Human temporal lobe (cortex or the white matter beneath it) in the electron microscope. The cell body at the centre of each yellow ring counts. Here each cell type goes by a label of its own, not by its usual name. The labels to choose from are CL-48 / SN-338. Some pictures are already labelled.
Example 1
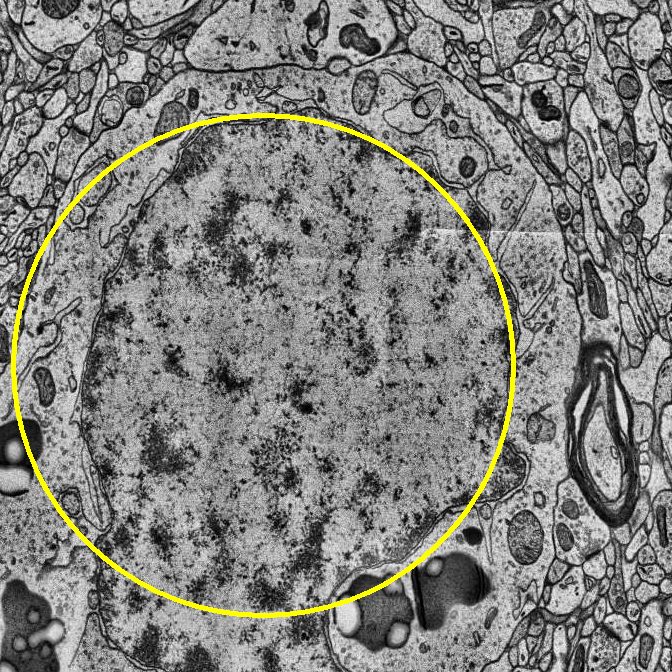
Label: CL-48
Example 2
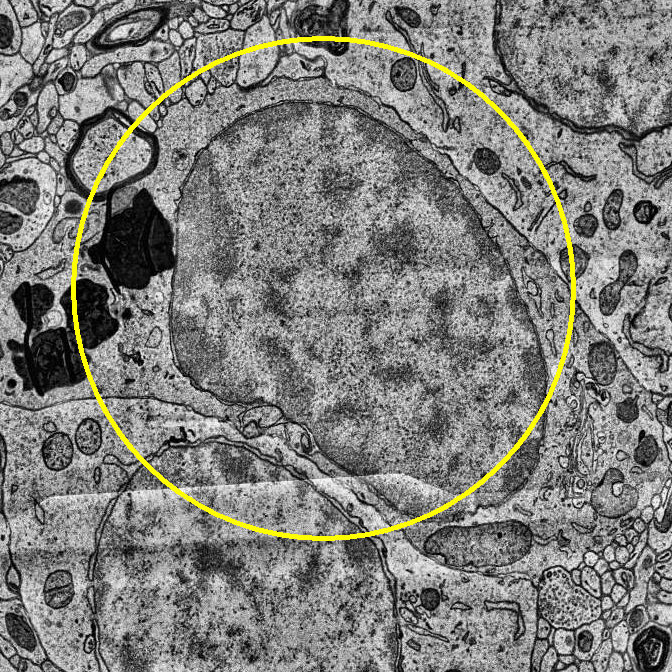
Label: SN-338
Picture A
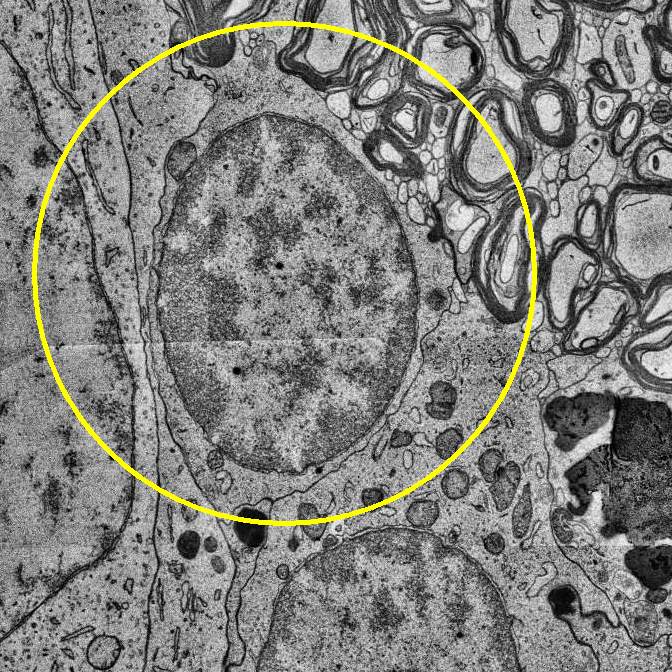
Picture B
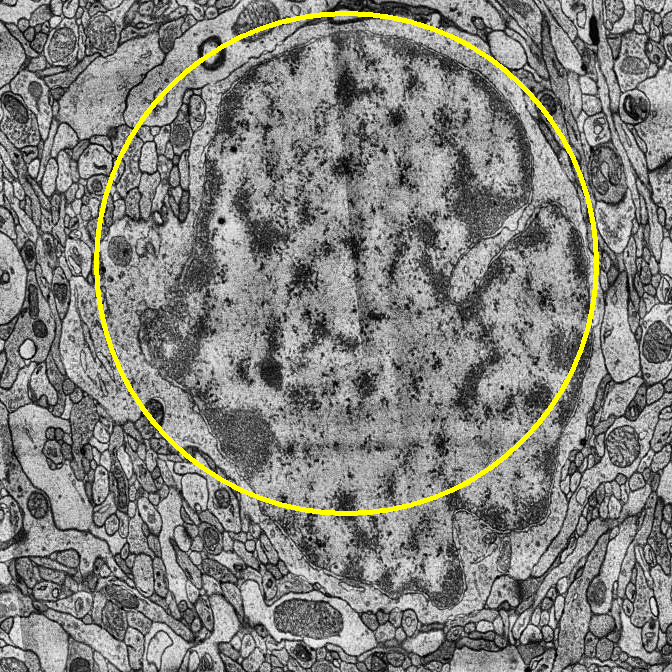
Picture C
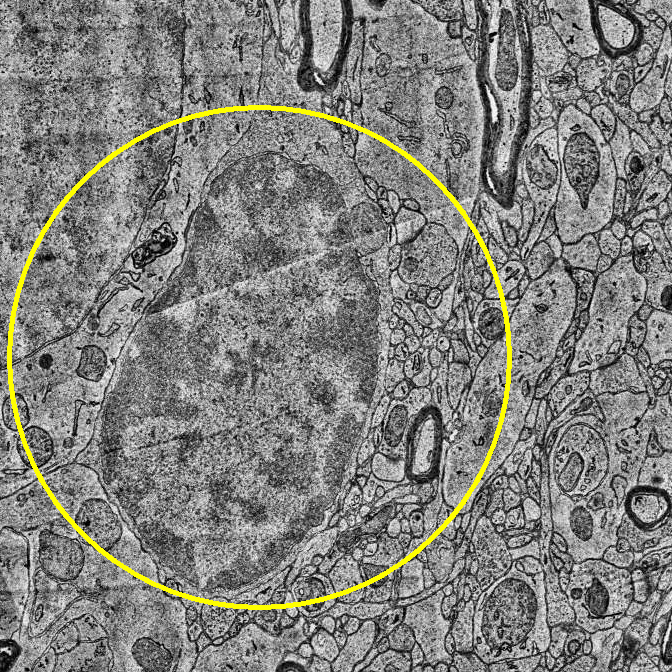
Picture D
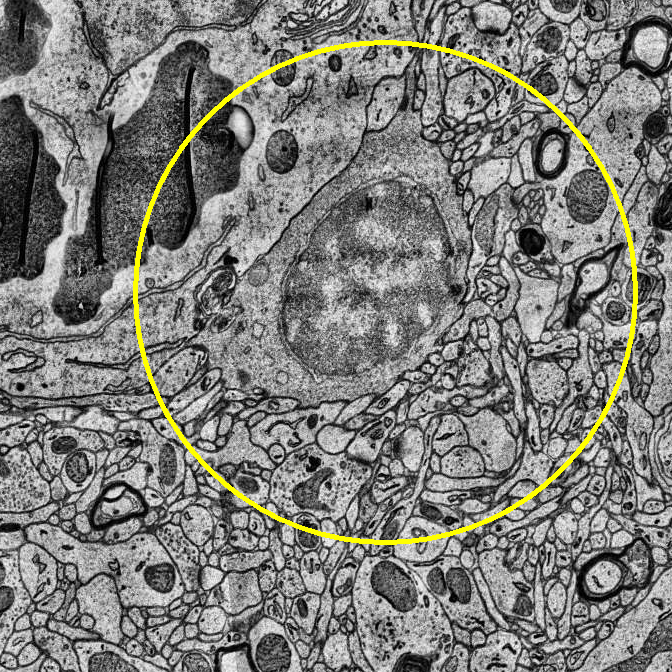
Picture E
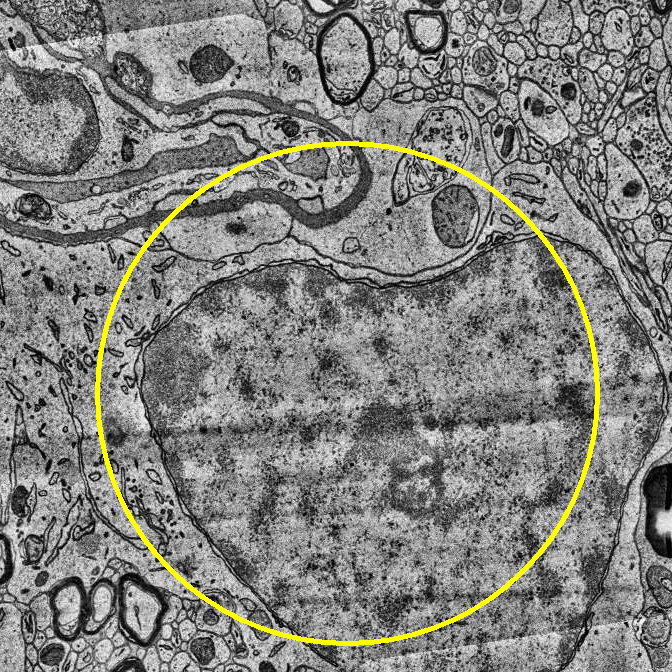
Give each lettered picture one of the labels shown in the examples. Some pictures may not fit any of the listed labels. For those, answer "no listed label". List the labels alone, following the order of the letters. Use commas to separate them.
SN-338, no listed label, SN-338, SN-338, no listed label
